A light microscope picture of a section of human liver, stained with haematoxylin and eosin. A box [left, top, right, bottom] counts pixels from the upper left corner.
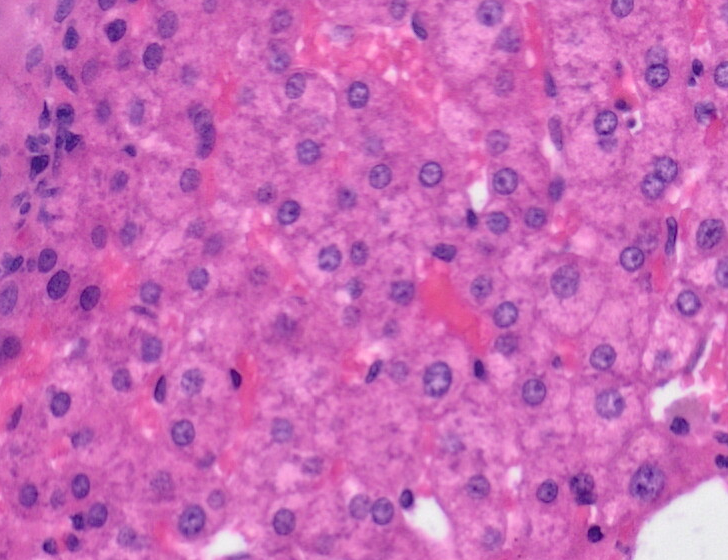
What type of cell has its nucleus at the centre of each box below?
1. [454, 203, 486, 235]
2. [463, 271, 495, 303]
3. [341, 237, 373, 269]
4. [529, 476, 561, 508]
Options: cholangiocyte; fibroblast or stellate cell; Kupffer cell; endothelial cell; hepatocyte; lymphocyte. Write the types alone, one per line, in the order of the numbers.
fibroblast or stellate cell
hepatocyte
hepatocyte
hepatocyte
